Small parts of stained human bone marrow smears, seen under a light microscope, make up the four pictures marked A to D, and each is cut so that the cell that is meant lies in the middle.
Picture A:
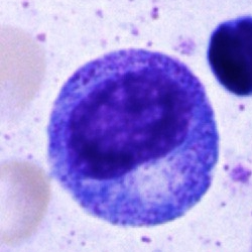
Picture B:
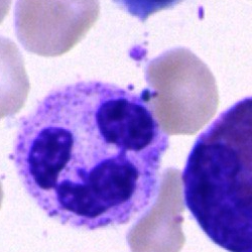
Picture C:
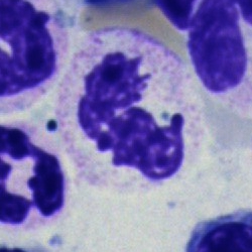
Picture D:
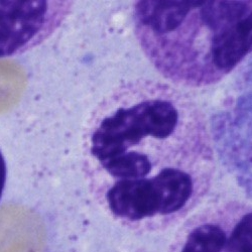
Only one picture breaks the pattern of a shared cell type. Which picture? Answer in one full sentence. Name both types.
The others show segmented neutrophils, but picture A shows a promyelocyte.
